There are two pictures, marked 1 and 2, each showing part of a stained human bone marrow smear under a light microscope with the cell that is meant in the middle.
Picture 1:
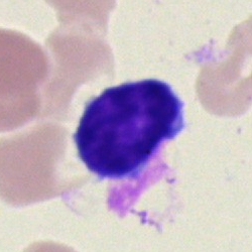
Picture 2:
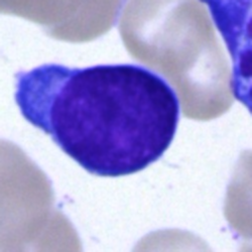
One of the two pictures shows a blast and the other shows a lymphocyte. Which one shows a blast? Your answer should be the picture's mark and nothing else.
2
